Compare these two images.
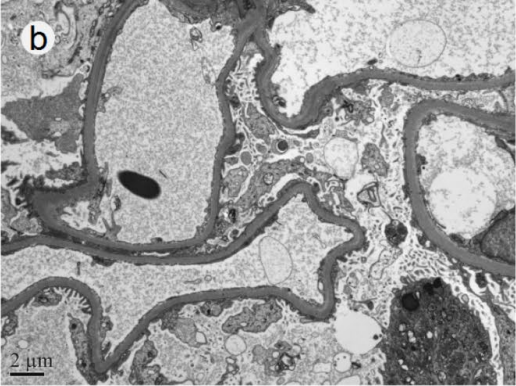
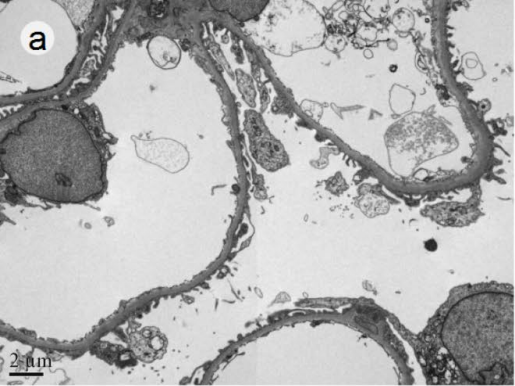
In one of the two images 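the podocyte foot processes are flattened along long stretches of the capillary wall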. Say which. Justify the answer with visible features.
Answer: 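First image: long segments of the outer capillary wall are covered by a continuous flat layer without separate foot processes. Second image: small separate foot processes remain visible along much of the capillary walls. That points to this answer: the first image.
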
